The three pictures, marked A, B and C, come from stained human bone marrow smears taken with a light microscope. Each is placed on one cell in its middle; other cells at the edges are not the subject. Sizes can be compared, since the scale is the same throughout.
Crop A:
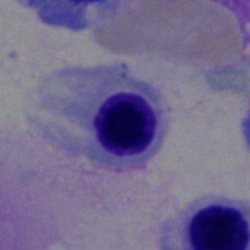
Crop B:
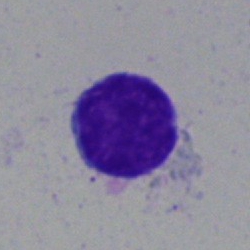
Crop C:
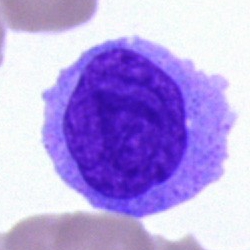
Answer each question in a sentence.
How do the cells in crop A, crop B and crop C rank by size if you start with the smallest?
From the smallest up, the order is A, B, C.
